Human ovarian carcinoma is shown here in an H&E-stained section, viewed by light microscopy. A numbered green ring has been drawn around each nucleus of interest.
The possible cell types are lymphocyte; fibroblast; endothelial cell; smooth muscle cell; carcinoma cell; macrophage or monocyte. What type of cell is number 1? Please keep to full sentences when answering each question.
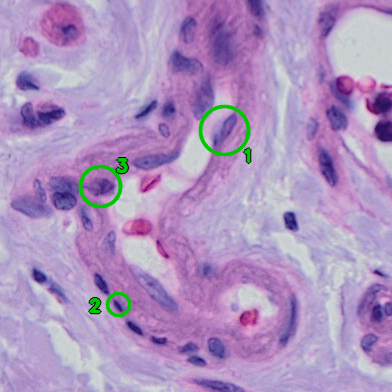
Heads up, the cell numbered 1 is an endothelial cell.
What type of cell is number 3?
The label 3 in this section denotes an endothelial cell.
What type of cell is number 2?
Looking at the numbered marks, cell 2 is a smooth muscle cell.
